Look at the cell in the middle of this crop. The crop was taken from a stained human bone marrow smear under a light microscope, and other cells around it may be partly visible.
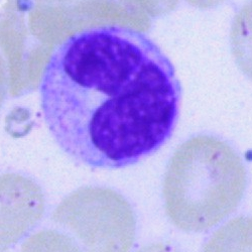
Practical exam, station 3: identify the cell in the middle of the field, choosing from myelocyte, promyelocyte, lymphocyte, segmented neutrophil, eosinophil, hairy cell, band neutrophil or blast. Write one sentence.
The central cell shown in this smear crop is a band neutrophil.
